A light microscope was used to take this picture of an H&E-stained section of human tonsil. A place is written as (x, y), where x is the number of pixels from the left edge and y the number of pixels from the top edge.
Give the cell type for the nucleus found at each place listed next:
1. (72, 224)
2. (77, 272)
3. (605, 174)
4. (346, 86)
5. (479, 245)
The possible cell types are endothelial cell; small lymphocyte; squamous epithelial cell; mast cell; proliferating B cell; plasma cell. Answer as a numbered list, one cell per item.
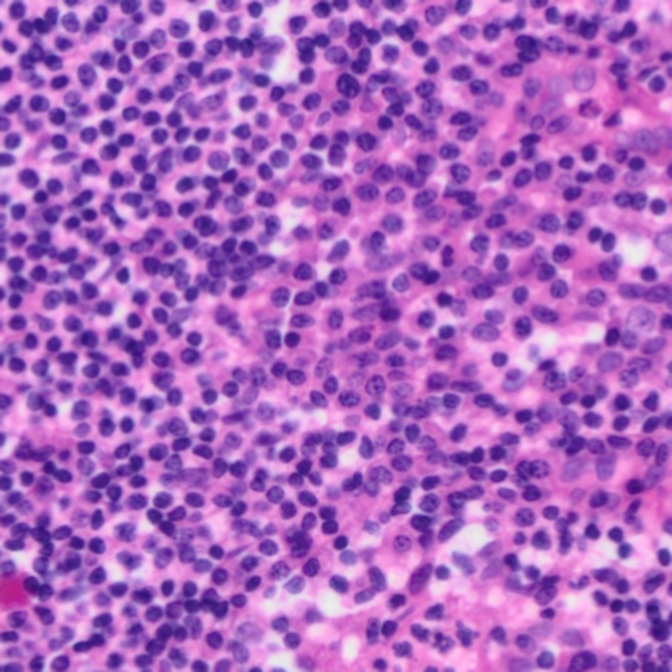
1. small lymphocyte
2. small lymphocyte
3. plasma cell
4. plasma cell
5. plasma cell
